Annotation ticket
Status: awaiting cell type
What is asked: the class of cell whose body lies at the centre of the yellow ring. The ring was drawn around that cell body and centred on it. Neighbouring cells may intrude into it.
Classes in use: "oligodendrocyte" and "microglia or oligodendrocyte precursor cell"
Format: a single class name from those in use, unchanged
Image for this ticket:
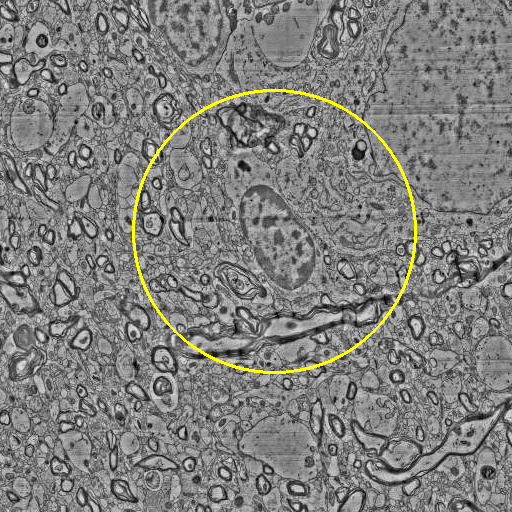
microglia or oligodendrocyte precursor cell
